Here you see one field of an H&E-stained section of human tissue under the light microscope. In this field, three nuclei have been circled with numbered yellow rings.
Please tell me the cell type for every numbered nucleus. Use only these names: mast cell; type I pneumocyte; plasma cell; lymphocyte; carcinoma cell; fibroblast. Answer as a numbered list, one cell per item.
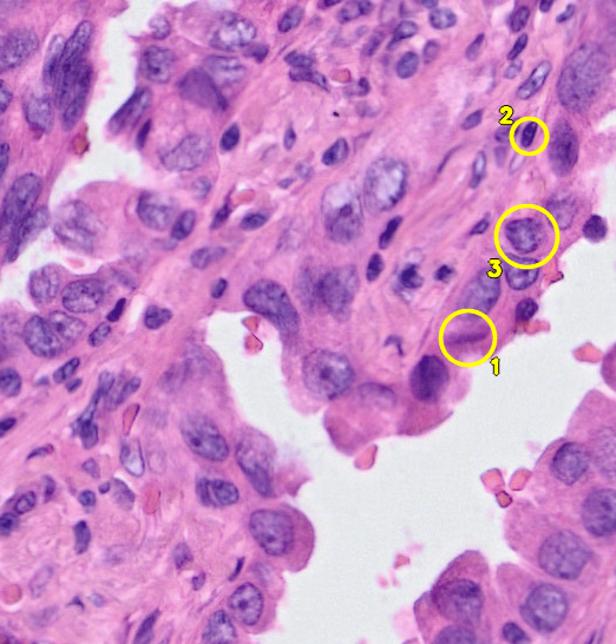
1. carcinoma cell
2. lymphocyte
3. carcinoma cell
